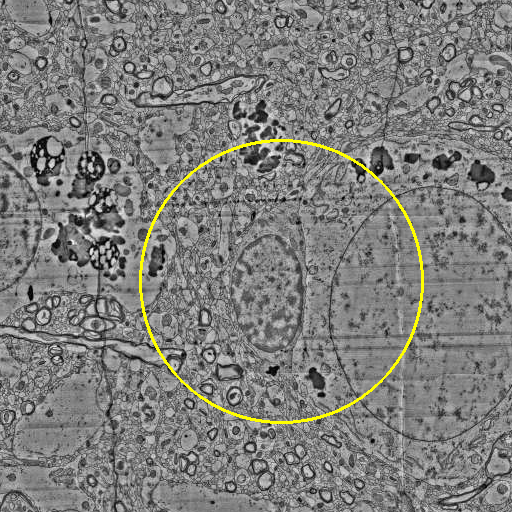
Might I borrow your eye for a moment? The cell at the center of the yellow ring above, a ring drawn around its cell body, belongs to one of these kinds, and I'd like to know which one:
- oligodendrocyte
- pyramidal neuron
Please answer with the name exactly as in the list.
oligodendrocyte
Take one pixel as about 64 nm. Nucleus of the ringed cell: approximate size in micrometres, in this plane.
In this plane, approximately 7 by 5 micrometers, and clearly longer than it is wide.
